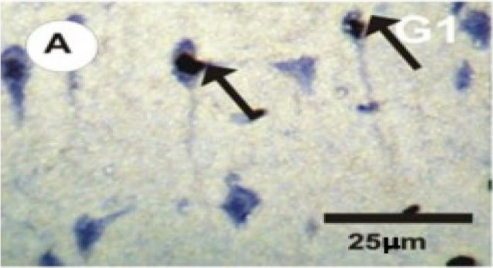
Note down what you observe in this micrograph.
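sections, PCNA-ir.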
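Brain cortex with scattered cell bodies stained blue, several with triangular or spindle shapes and fine processes running into the pale, finely granular background. Only a few cells, indicated by arrows, show dark brown to black staining over the nucleus.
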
